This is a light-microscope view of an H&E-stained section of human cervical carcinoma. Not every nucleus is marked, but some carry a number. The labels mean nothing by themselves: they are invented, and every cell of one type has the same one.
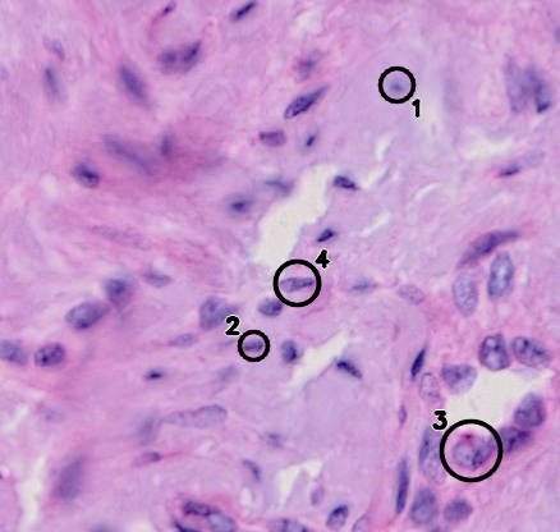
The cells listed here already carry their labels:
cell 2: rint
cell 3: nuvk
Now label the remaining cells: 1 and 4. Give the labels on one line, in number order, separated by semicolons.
rint; rint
